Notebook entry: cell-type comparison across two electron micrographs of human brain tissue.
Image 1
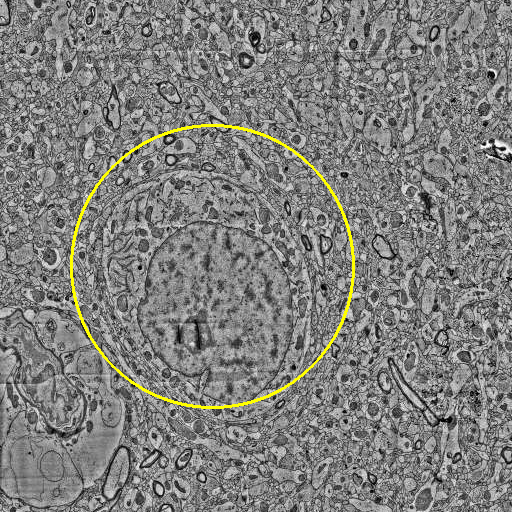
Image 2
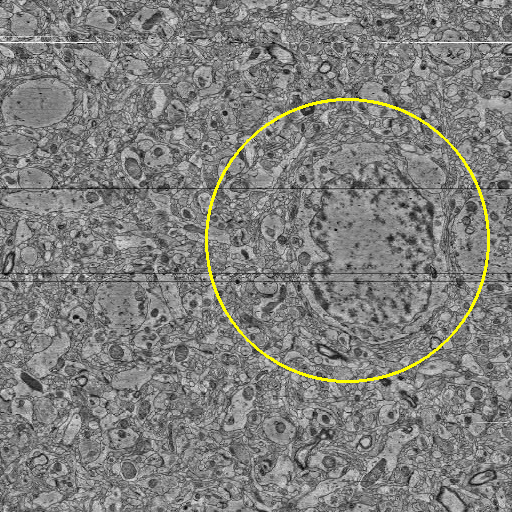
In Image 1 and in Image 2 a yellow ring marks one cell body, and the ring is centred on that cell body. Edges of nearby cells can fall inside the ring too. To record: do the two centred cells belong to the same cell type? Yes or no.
yes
